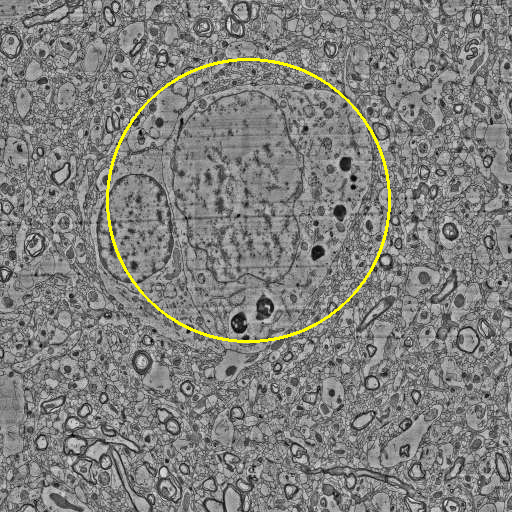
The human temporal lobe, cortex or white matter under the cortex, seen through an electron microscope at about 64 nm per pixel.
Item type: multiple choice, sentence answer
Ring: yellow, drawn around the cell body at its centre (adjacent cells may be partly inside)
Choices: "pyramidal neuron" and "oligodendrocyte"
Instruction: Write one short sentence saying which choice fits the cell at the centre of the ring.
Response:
This ring is drawn around a pyramidal neuron.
